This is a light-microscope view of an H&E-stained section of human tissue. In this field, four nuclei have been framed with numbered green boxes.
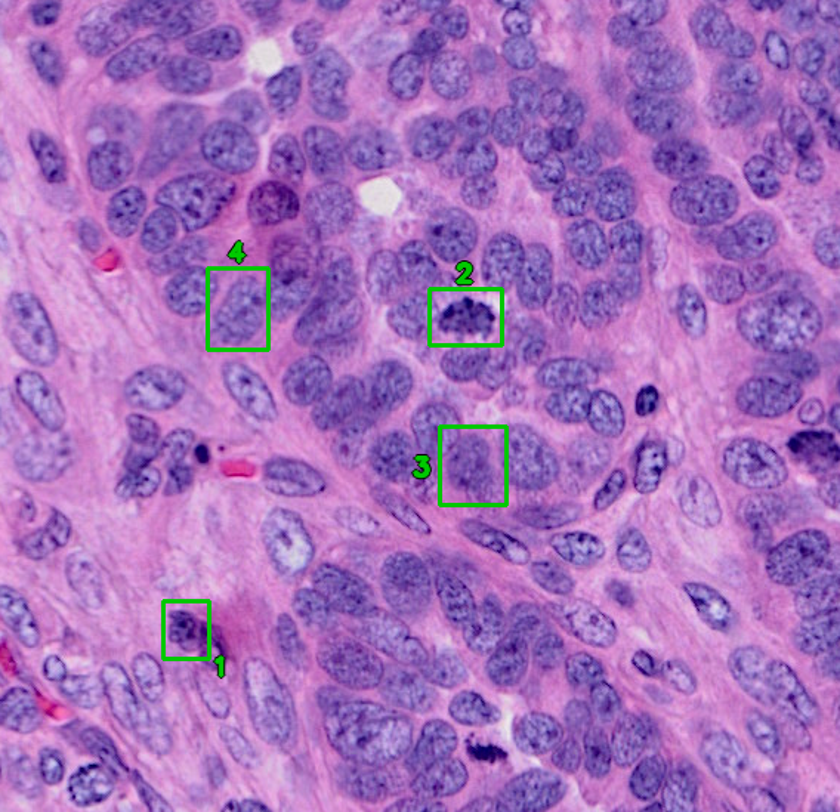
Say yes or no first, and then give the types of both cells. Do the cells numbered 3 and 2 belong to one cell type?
Yes, both are carcinoma cells.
